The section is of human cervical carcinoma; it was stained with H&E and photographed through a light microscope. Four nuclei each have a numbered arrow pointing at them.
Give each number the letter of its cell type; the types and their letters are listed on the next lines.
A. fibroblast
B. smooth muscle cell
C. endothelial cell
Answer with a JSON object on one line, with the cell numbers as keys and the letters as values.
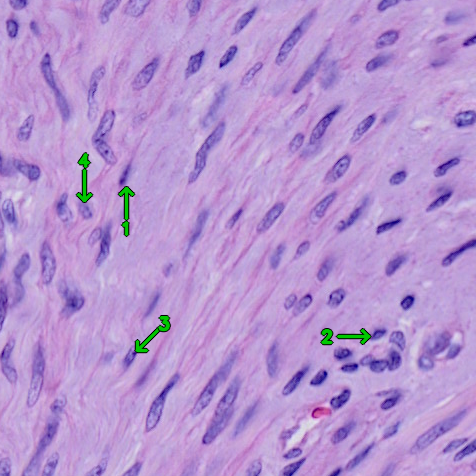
{"1": "B", "2": "A", "3": "B", "4": "B"}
